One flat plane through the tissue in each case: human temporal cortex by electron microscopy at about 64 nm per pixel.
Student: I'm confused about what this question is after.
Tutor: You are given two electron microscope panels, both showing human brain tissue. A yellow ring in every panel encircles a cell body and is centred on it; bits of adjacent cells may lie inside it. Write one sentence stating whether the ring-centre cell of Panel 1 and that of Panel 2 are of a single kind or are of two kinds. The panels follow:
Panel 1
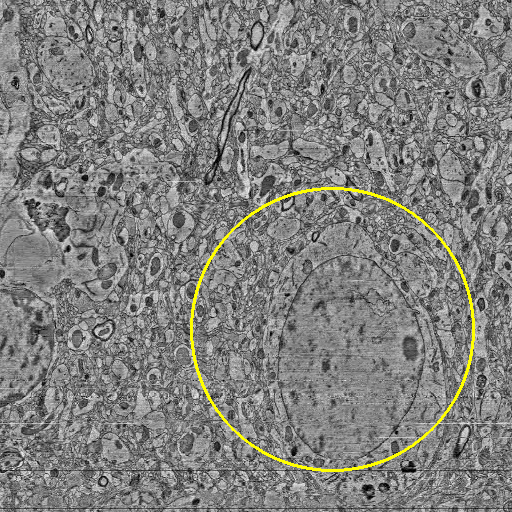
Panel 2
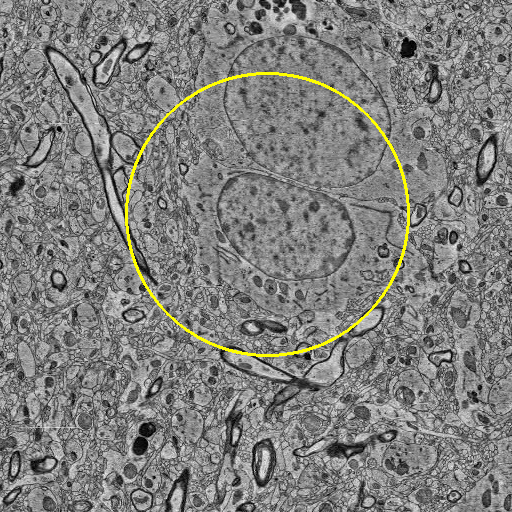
Here, the Panel 1 ring-centre cell and the Panel 2 ring-centre cell are of two kinds.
